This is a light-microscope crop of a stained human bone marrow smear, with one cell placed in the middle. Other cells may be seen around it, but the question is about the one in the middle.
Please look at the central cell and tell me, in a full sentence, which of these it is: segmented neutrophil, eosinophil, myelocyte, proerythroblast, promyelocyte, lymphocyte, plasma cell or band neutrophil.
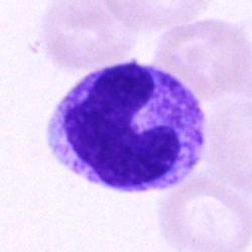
By classification, the middle cell of this crop is a band neutrophil.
